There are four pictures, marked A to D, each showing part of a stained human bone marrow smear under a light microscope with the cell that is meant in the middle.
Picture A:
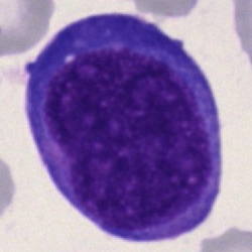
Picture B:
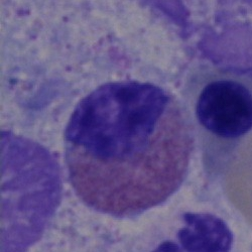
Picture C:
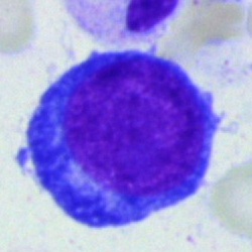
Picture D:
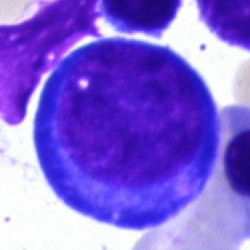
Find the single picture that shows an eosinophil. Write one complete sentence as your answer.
The picture with the eosinophil is B.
